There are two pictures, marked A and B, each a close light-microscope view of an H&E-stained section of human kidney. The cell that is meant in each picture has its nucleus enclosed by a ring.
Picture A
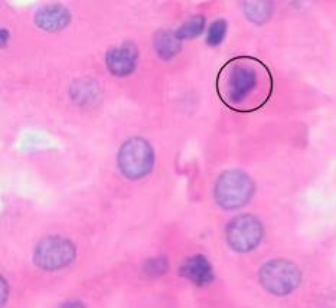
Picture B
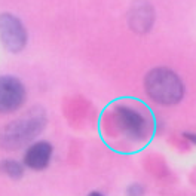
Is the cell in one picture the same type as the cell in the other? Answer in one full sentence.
No. Picture A shows a proximal tubule cell, but picture B shows an endothelial cell.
